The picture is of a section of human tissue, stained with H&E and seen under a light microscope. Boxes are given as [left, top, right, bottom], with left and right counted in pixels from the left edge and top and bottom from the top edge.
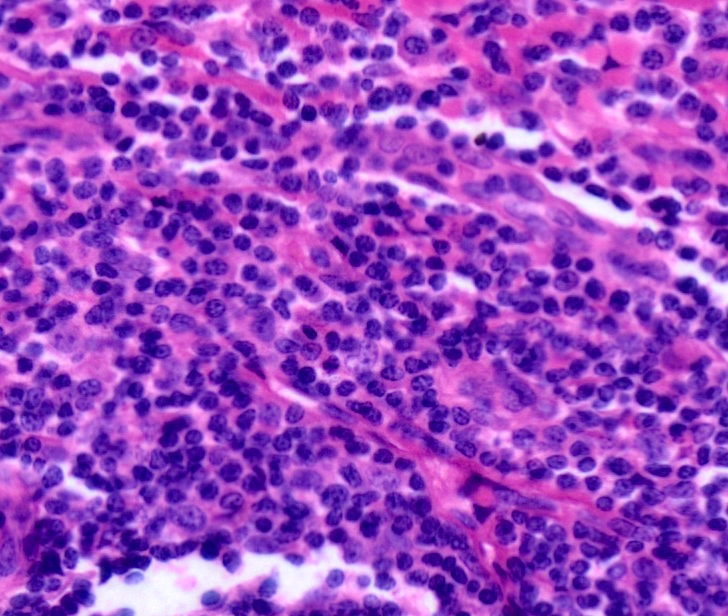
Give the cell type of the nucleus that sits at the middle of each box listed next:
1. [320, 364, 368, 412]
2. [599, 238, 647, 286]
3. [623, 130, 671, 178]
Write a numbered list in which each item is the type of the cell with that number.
1. small lymphocyte
2. endothelial cell
3. endothelial cell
